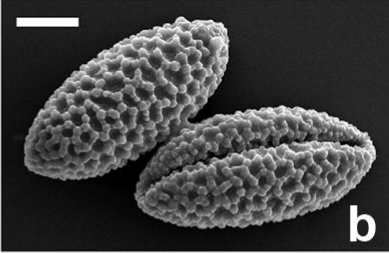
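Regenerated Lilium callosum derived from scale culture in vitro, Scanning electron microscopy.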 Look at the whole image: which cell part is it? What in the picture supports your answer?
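The right-hand grain has a long furrow running along its length. The furrow runs from near one tapered end toward the other.
Answer: a groove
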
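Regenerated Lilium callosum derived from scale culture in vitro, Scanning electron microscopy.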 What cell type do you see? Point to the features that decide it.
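Two separate elongated grains tapering toward both ends. Their surfaces are covered by a raised net-like ornament. On this evidence: spindle-type pollen.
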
